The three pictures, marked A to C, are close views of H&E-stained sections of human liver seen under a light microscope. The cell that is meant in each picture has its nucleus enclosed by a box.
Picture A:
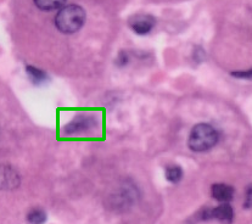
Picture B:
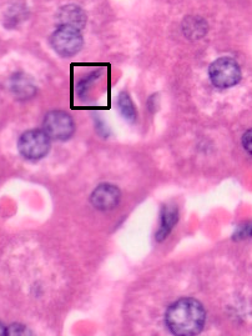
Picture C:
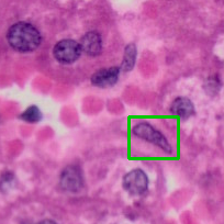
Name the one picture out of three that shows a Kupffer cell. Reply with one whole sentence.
Picture C is the one that shows the Kupffer cell.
